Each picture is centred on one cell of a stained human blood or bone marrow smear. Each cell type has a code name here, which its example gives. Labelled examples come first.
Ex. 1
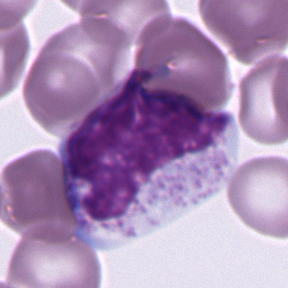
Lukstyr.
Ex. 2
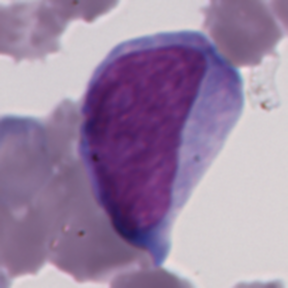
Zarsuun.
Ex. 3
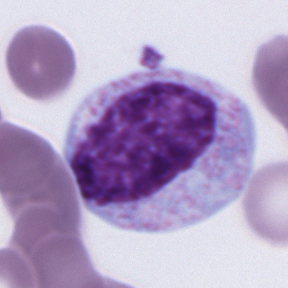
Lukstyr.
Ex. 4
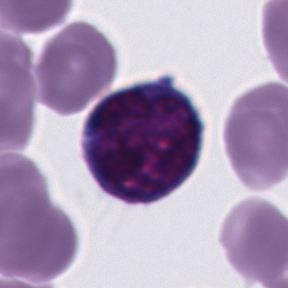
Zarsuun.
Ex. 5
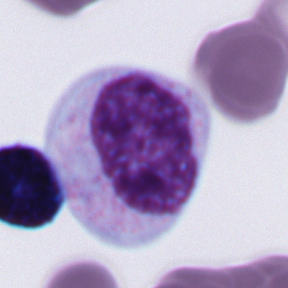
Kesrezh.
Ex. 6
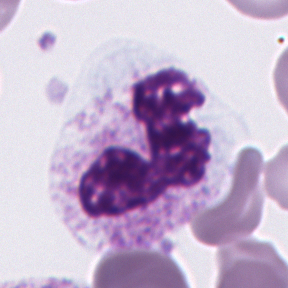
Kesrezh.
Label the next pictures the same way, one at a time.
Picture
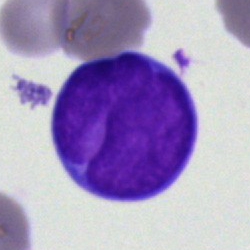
Zarsuun.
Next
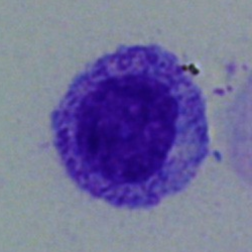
Lukstyr.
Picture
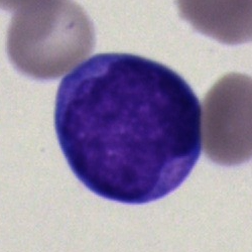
Zarsuun.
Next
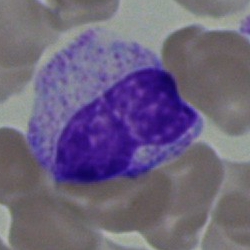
Kesrezh.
